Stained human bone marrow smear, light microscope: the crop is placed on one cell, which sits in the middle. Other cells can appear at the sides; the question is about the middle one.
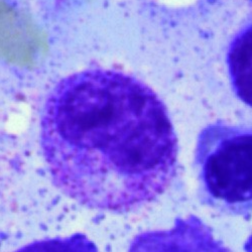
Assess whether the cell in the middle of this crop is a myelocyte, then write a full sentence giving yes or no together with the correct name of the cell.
Yes, the crop is centred on a myelocyte.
